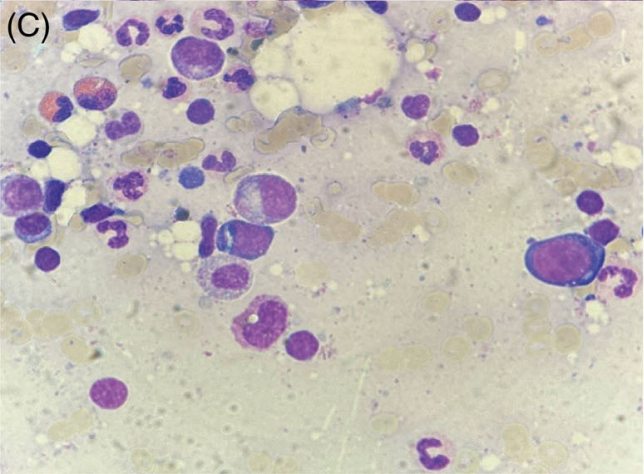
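This is a bone marrow aspirate smear with a mixture of hematopoietic cells scattered over a pale background of red cells. Several neutrophils with segmented or band-shaped purple nuclei and pale granular cytoplasm are present. Larger cells with round nuclei and pinkish granular cytoplasm lie among them, and small round cells with dense dark nuclei and scant cytoplasm are scattered about. At the right side, a large cell with a round, finely textured nucleus is rimmed by intensely deep blue cytoplasm. Clear round lipid vacuoles are clustered in places across the smear.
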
